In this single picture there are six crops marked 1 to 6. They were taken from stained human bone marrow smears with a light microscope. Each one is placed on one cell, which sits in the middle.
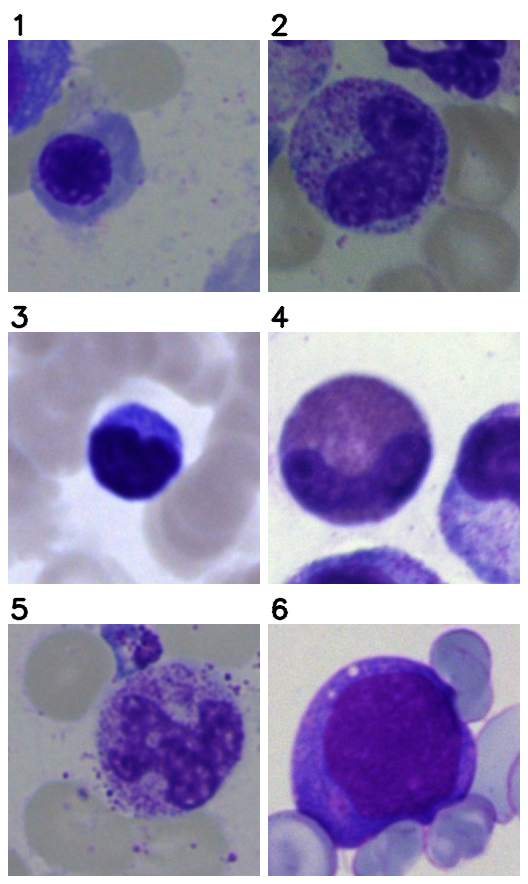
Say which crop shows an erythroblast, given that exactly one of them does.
1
